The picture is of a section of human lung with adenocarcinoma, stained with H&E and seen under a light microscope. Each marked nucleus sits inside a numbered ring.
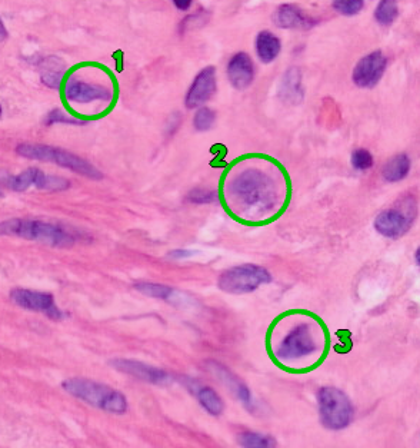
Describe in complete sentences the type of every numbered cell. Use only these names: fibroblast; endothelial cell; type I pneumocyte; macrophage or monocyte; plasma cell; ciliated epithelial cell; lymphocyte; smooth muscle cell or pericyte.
Cell 1 is a smooth muscle cell or pericyte, cell 2 is a fibroblast and cell 3 is a fibroblast.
